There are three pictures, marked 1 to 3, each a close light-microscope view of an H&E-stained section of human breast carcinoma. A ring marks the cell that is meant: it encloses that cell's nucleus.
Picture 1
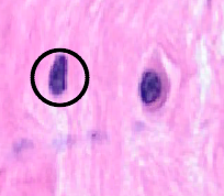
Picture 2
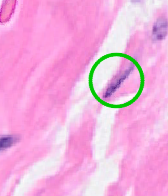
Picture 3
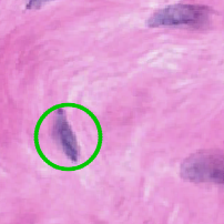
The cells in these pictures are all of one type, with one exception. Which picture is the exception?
1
